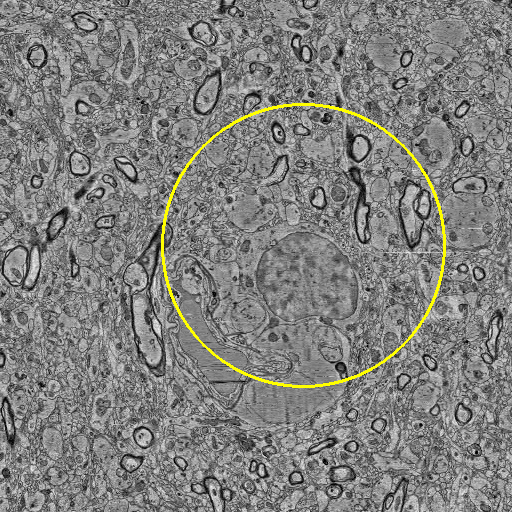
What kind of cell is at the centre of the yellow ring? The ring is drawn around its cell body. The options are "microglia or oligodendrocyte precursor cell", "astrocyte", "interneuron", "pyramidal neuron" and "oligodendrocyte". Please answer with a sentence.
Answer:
The yellow ring marks the cell body of an oligodendrocyte.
